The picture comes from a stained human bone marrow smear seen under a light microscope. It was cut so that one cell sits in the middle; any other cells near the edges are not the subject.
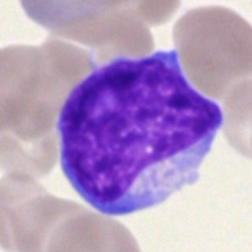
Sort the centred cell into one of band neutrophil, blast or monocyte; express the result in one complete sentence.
Centred in the crop is a blast.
